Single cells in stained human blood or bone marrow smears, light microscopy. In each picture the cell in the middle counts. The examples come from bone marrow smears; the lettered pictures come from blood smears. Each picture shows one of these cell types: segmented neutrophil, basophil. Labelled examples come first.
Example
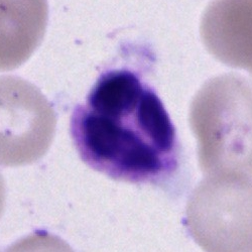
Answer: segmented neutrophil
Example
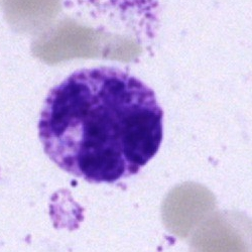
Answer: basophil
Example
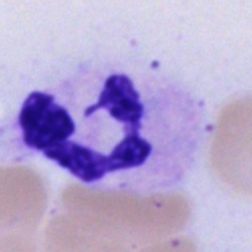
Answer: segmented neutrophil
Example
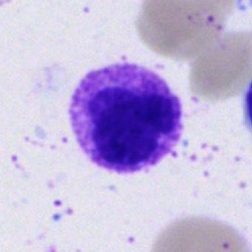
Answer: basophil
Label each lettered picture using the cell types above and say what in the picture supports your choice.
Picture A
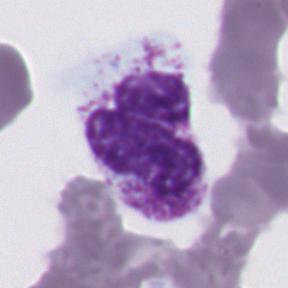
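segmented neutrophil. Evidence: The cytoplasm holds small reddish-purple granules.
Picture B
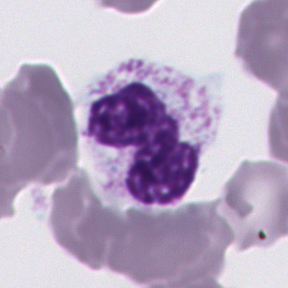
segmented neutrophil. Evidence: Fine pink-violet granules are scattered throughout the cytoplasm.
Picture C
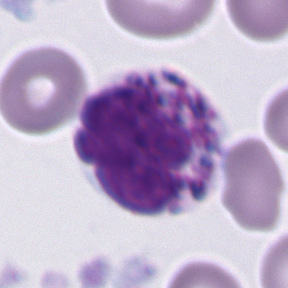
basophil. Evidence: The nucleus fills most of the cell and lies toward its left side.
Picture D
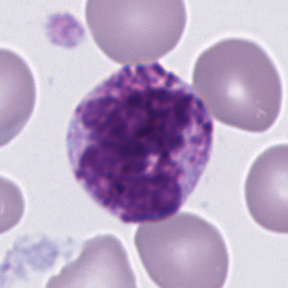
basophil. Evidence: Coarse, dark purple-black granules are scattered throughout the cell.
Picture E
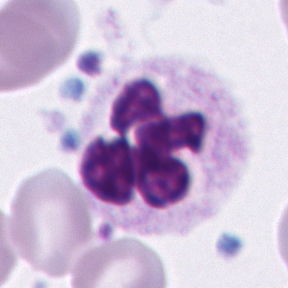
segmented neutrophil. Evidence: Fine pinkish-lilac granules are scattered throughout the cytoplasm.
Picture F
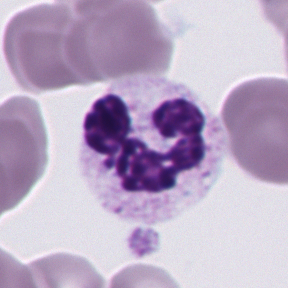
segmented neutrophil. Evidence: Fine lilac granules are scattered evenly through the cytoplasm.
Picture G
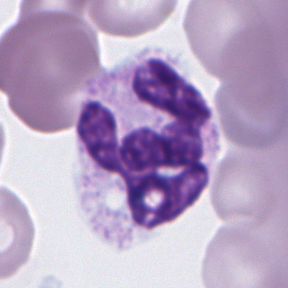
segmented neutrophil. Evidence: The cytoplasm is abundant and pale pinkish-lilac.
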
